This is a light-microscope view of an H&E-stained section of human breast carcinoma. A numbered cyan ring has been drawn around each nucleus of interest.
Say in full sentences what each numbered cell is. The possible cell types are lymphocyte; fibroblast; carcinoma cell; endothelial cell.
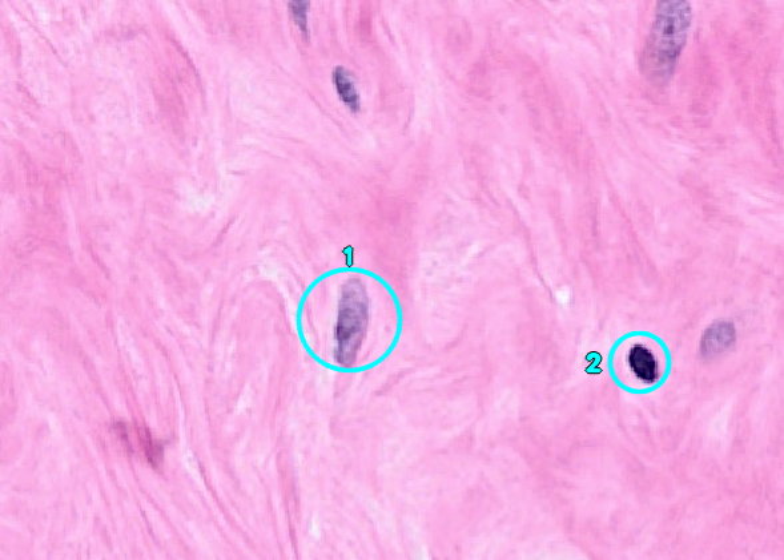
Cell 1 is a fibroblast. Cell 2 is a lymphocyte.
